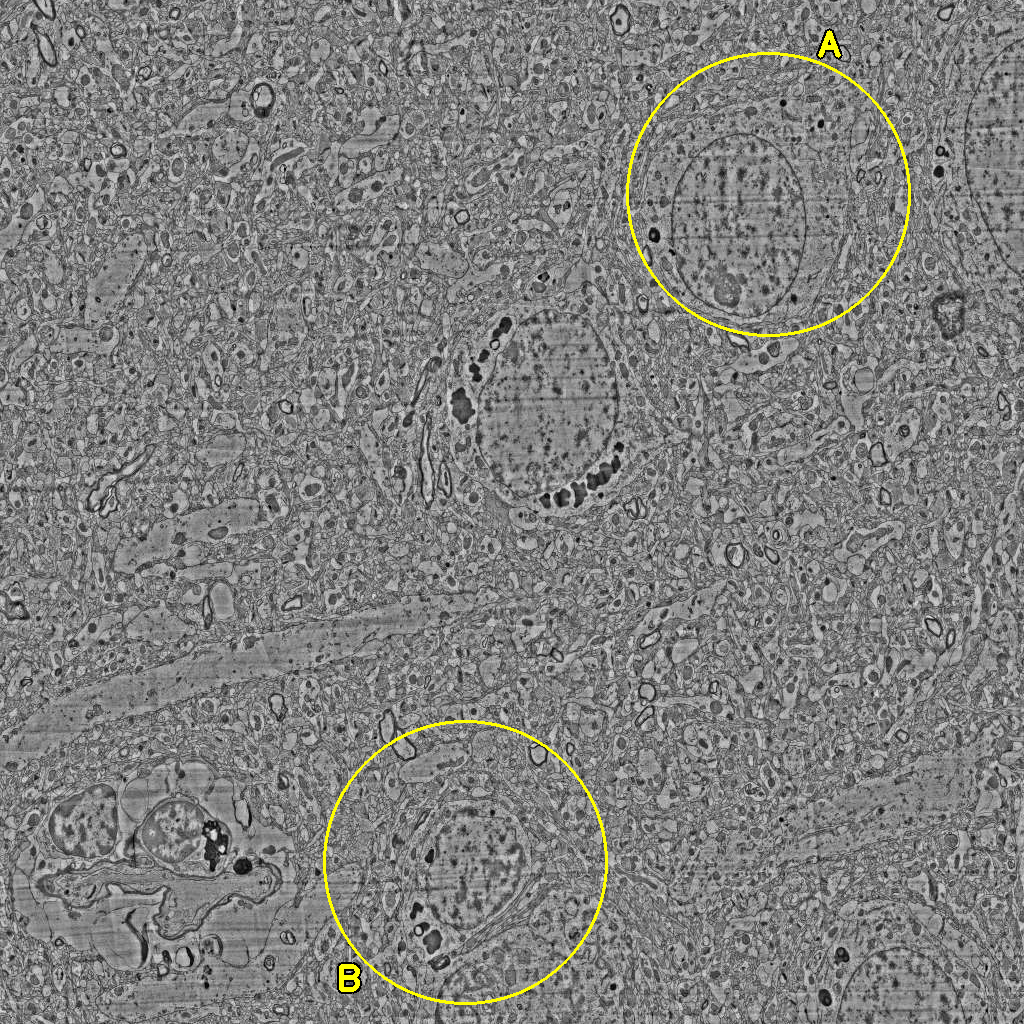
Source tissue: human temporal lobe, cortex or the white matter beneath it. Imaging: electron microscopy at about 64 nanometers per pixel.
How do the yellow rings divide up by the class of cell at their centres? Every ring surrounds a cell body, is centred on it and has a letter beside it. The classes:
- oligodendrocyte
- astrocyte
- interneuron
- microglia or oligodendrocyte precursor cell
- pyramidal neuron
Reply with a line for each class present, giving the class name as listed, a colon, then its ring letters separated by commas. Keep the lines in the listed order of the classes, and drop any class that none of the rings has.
interneuron: B
pyramidal neuron: A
